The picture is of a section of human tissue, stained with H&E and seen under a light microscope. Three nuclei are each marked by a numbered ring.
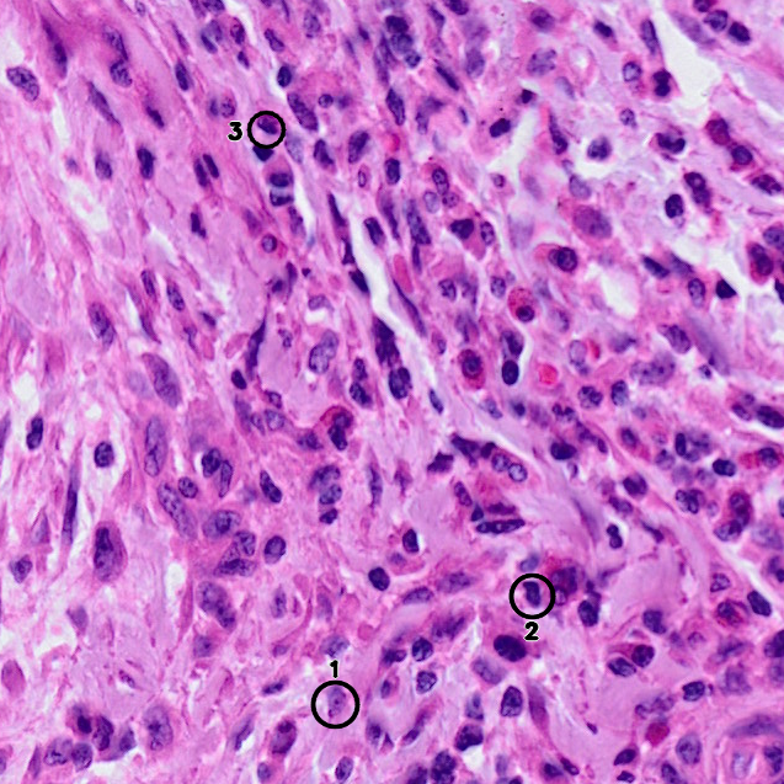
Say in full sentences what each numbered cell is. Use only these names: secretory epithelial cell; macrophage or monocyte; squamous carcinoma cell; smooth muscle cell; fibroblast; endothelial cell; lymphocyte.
Cell 1 is a macrophage or monocyte. Cells 2 and 3 are lymphocytes.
